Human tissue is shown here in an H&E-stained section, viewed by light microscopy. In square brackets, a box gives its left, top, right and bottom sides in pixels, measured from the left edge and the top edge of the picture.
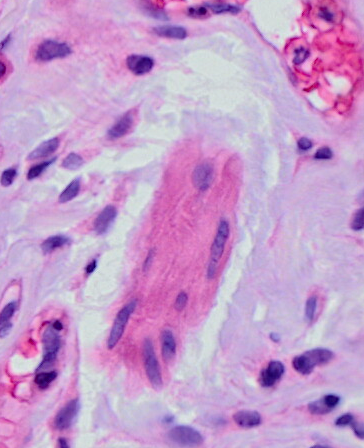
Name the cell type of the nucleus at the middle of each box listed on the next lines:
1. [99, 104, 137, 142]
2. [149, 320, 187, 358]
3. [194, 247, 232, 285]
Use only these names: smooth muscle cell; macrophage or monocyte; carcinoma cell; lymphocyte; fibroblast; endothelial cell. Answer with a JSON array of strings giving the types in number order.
["fibroblast", "smooth muscle cell", "smooth muscle cell"]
